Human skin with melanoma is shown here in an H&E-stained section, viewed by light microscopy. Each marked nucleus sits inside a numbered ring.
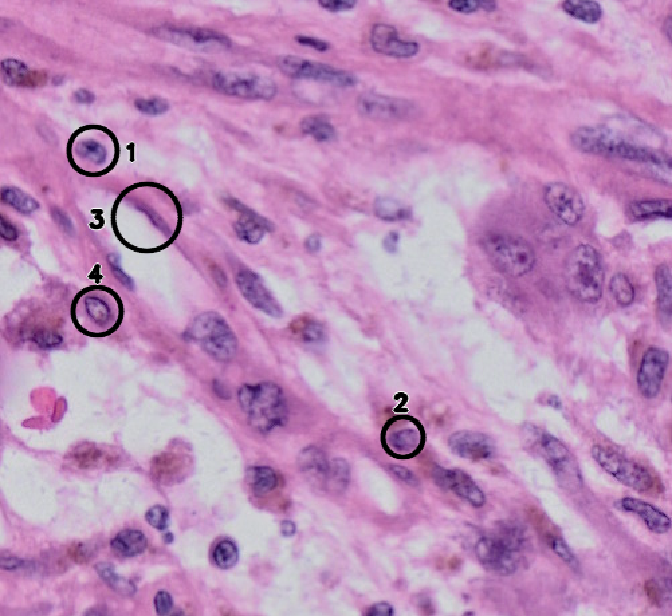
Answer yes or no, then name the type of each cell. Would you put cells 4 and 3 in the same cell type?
No, sorry to say, cell 4 is a macrophage or monocyte and cell 3 is an endothelial cell.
